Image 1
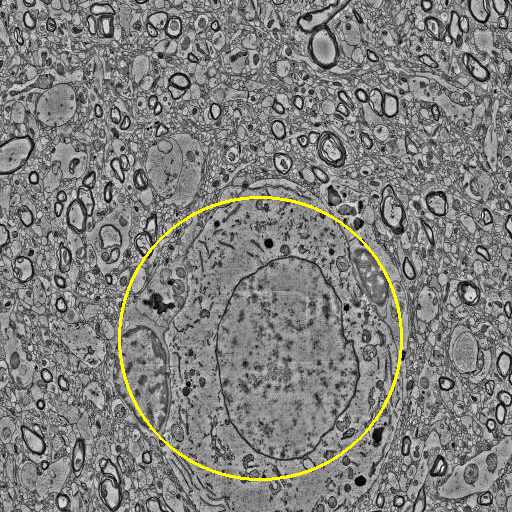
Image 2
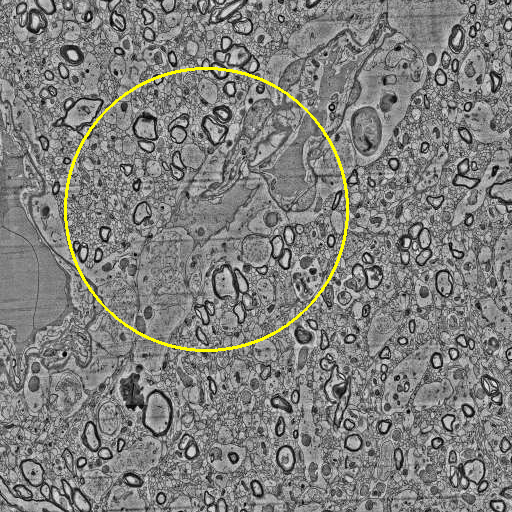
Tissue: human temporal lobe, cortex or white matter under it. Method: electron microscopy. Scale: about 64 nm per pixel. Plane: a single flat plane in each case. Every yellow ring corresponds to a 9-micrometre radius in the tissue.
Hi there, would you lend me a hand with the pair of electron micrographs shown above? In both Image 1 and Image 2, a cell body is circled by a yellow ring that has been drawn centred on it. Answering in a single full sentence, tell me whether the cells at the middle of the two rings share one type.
No, the ringed cells in Image 1 and Image 2 belong to two types.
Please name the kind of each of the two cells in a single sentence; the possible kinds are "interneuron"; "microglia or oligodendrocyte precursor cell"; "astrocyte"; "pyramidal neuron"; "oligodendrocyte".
In the first picture the ring is centred on a pyramidal neuron, and in the second on an oligodendrocyte.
